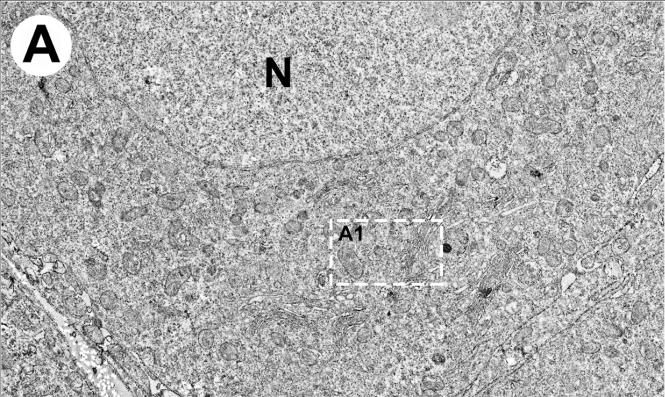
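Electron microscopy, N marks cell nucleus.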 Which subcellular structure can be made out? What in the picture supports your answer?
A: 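Numerous small round to oval organelles with internal cristae are spread through the cytoplasm. The answer: mitochondria.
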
